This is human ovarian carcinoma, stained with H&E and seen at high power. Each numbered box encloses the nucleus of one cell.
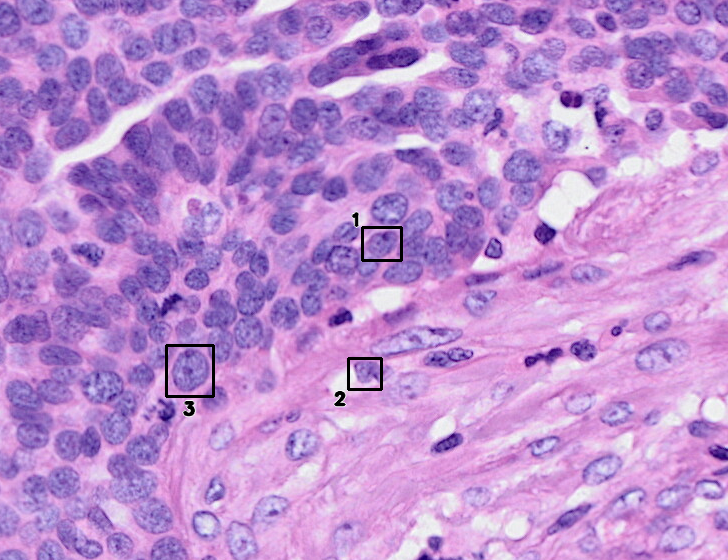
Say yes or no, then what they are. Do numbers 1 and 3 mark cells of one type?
Yes, both cells 1 and 3 are carcinoma cells.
